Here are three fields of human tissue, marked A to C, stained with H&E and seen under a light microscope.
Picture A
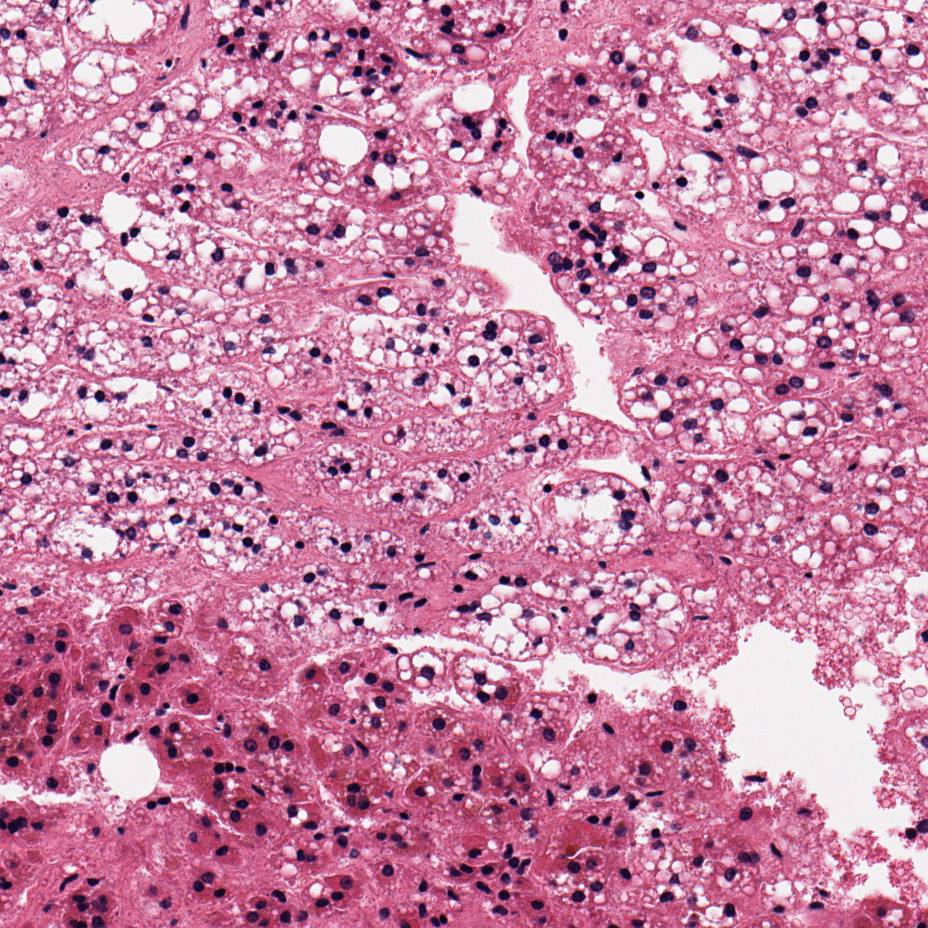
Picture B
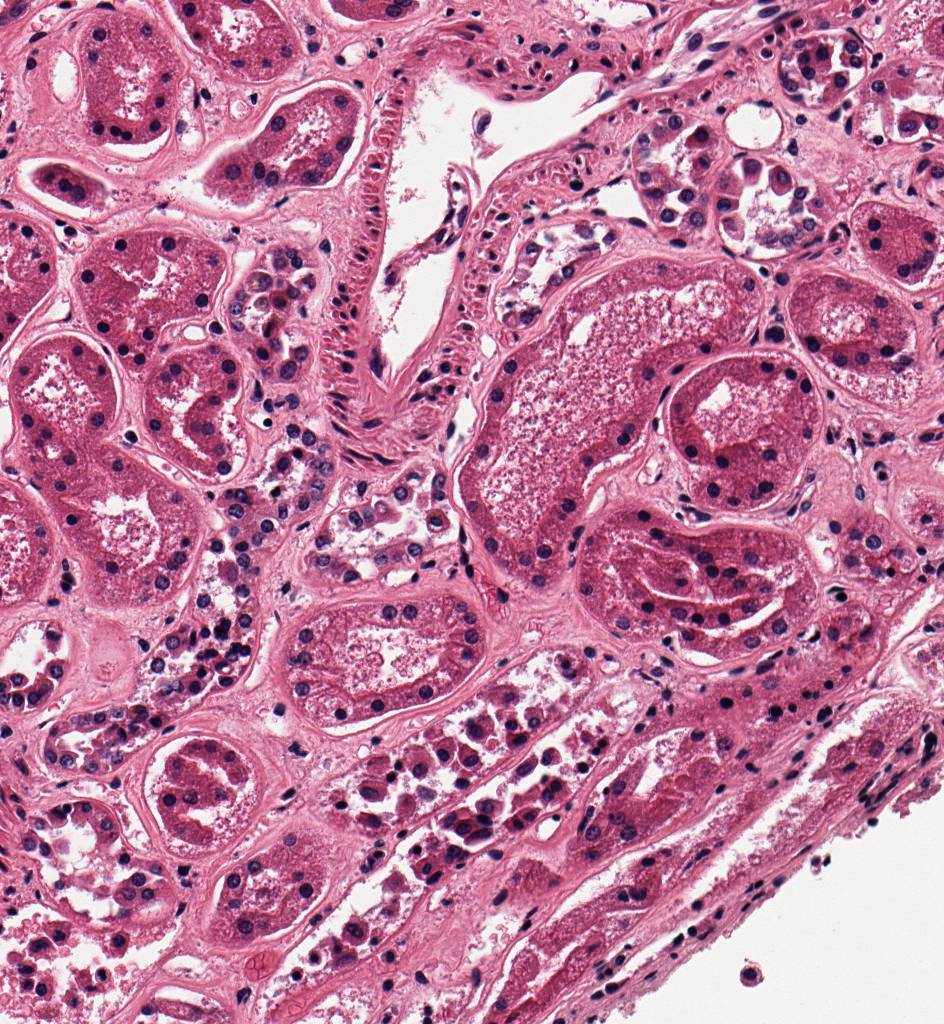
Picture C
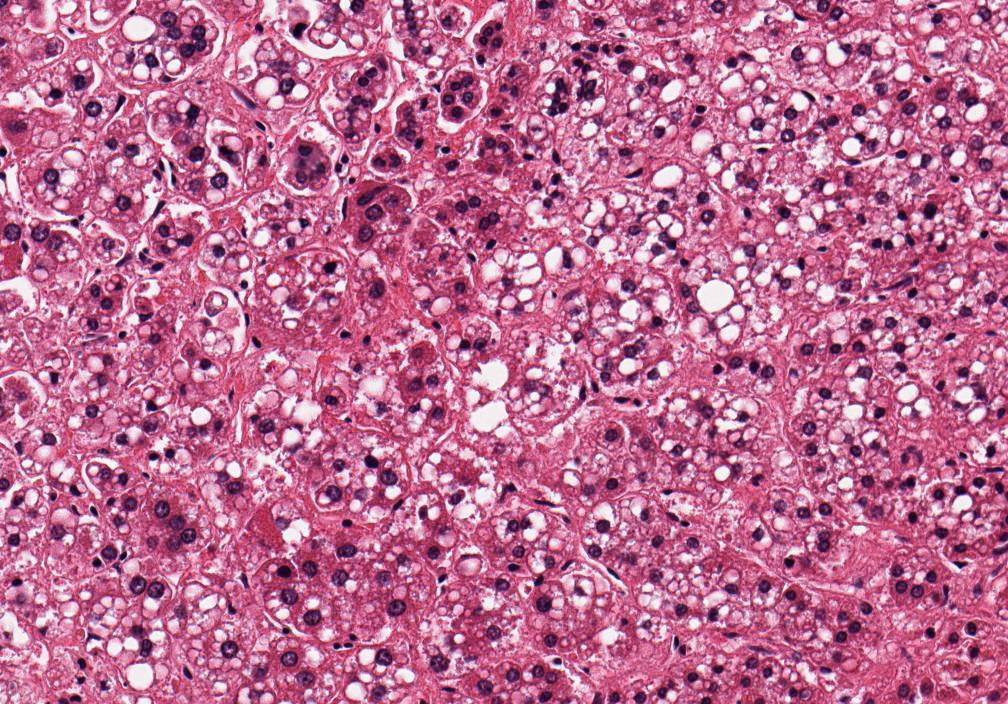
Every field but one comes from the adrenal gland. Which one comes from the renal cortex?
B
